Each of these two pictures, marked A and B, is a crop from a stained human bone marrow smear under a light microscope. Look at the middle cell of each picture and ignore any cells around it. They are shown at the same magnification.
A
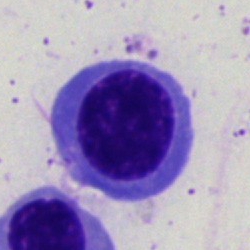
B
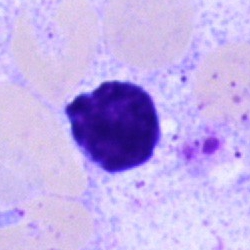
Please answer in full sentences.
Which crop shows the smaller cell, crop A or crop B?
Crop B holds the smaller cell, since the cell in crop A covers about 2 times as much area.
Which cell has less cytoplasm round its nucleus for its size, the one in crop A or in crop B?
It is the cell in crop B that is filled more by its nucleus.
